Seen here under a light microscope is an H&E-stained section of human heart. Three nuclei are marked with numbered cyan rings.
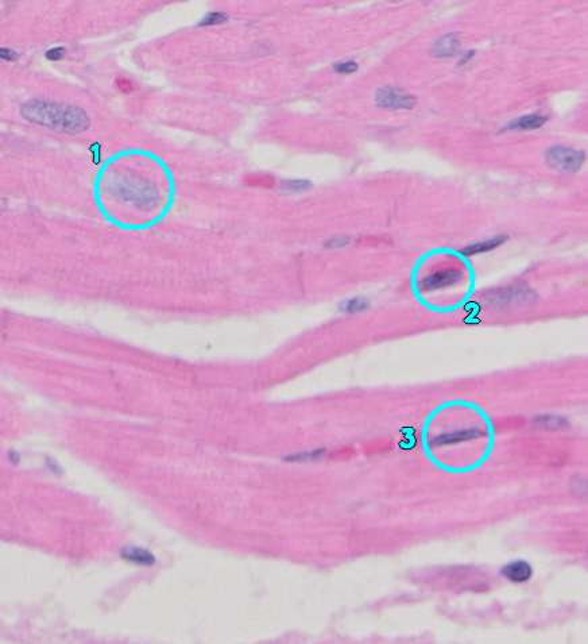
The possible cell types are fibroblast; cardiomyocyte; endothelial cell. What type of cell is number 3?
endothelial cell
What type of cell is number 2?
endothelial cell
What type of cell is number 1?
cardiomyocyte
